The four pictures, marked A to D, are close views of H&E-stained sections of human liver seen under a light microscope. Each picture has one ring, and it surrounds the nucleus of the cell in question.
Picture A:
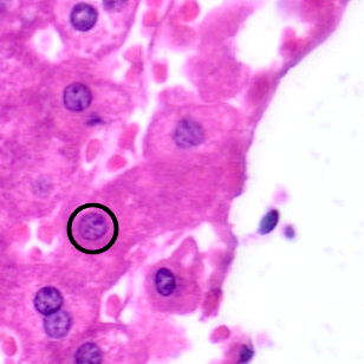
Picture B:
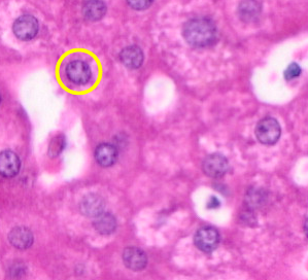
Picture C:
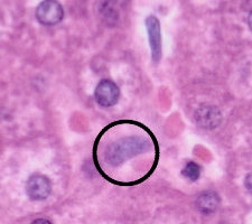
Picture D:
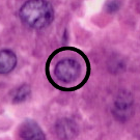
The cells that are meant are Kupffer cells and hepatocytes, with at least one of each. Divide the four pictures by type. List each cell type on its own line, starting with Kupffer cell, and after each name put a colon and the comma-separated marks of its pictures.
Kupffer cell: C
hepatocyte: A, B, D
